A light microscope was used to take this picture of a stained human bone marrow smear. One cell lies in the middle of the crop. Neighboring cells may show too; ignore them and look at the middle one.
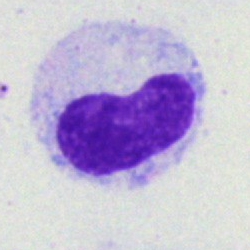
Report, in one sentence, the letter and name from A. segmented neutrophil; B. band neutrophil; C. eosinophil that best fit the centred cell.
Option B holds, for the cell in the middle is a band neutrophil.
